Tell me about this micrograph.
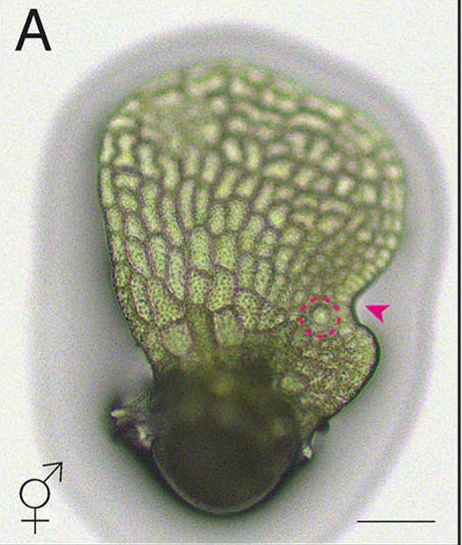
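This is a fern gametophyte seen whole, a flat thallus only about one cell thick made of polygonal green cells full of chloroplasts. The cells of the broad upper lamina are large and elongated, with dark walls giving a net-like pattern. On one side the margin is indented into a notch, and the cells around it are much smaller and densely packed, marking the meristem. Just beside the notch sits a small rounded archegonium. At the bottom the thallus narrows into a dark, dense basal region.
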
